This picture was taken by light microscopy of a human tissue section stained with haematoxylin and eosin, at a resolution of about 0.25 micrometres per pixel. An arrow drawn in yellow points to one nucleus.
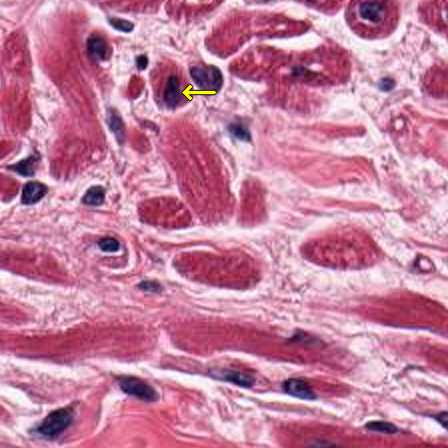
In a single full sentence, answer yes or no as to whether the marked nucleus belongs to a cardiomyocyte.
Yes, the marked nucleus belongs to a cardiomyocyte in this image.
